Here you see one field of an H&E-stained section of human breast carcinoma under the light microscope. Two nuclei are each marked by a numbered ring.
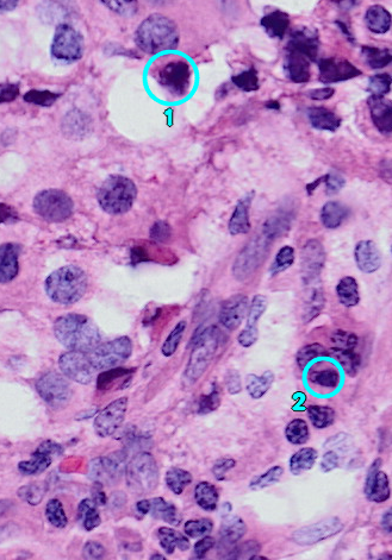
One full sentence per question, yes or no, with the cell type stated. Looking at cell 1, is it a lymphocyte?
No, the cell tagged 1 is a carcinoma cell, not a lymphocyte.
